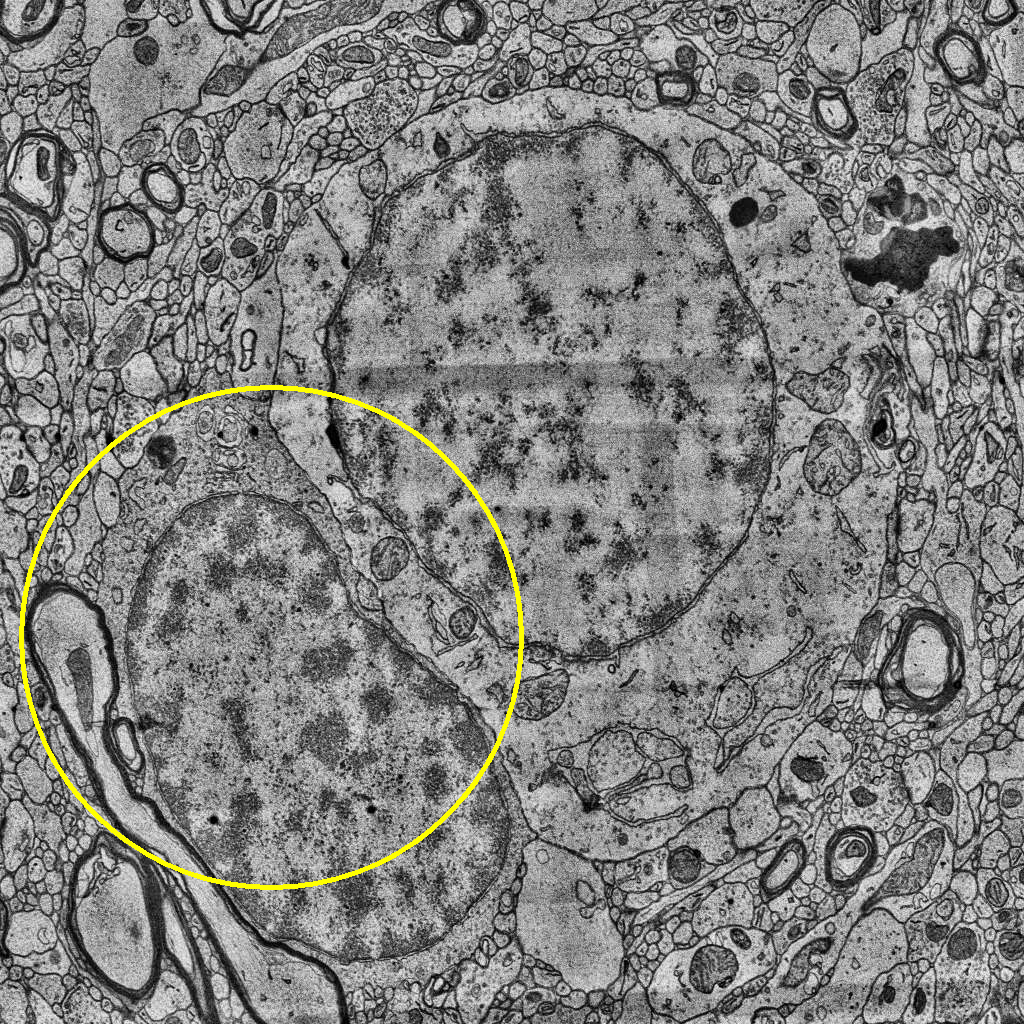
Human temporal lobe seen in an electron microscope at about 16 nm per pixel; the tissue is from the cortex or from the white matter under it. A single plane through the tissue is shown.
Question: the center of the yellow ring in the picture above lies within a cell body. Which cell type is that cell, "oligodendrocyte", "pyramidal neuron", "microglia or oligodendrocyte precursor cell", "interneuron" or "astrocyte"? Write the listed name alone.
oligodendrocyte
